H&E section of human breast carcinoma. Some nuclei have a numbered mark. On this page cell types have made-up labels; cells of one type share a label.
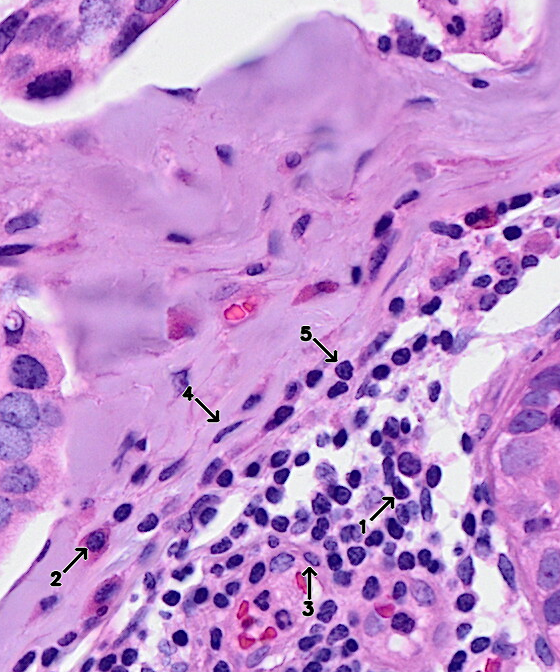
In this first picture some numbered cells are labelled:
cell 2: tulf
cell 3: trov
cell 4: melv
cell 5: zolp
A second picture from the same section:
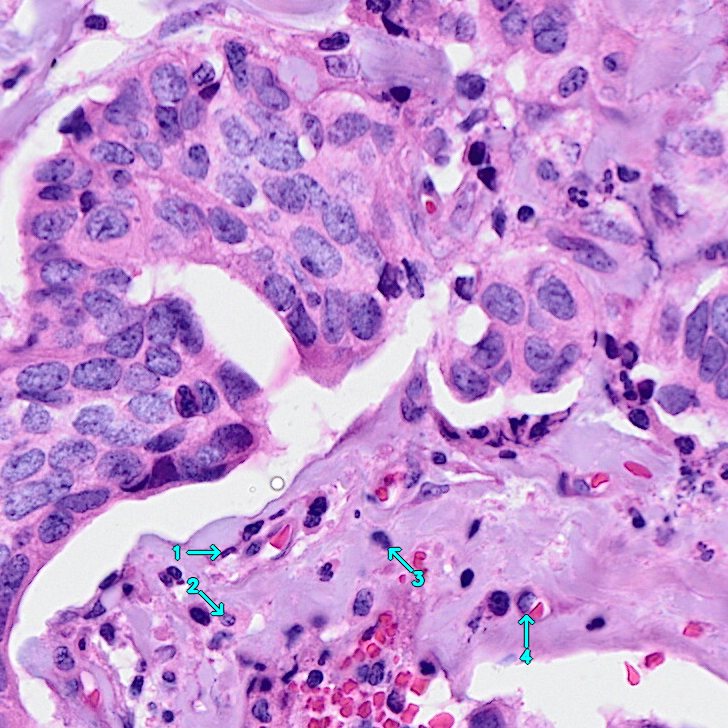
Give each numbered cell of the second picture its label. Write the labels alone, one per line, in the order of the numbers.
melv
tulf
zolp
trov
